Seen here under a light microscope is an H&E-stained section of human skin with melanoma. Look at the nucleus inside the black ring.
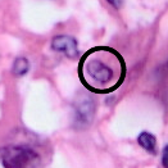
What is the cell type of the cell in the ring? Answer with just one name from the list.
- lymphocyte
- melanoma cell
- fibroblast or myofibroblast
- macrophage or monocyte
macrophage or monocyte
